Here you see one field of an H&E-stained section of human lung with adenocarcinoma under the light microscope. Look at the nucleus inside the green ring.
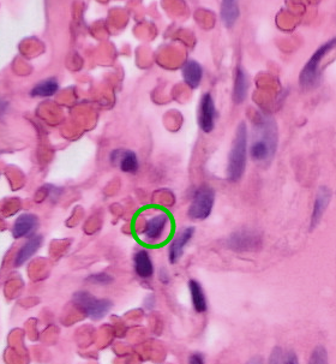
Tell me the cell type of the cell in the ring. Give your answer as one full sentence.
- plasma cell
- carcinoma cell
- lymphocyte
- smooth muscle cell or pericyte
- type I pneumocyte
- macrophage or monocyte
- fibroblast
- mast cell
The cell in the ring is a type I pneumocyte.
